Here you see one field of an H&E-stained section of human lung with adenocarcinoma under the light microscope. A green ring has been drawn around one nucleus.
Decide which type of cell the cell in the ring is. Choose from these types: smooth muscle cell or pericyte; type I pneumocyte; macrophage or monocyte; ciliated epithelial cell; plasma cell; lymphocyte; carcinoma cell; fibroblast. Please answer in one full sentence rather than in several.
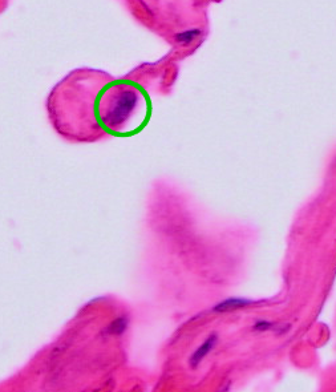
As to its cell type, the cell in the ring is a type I pneumocyte.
